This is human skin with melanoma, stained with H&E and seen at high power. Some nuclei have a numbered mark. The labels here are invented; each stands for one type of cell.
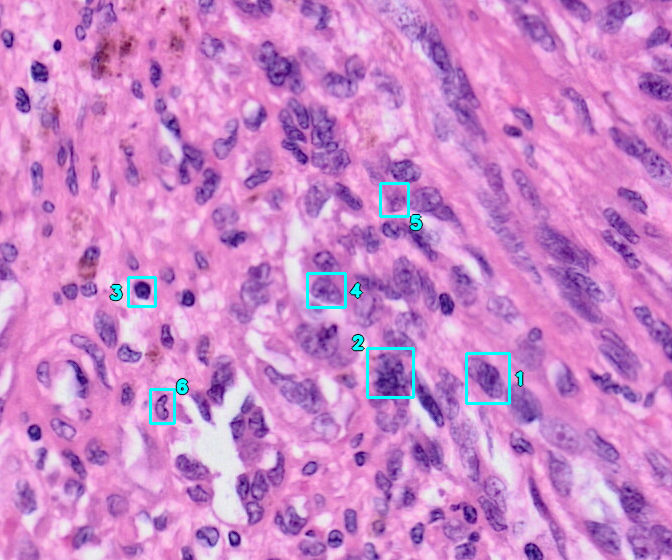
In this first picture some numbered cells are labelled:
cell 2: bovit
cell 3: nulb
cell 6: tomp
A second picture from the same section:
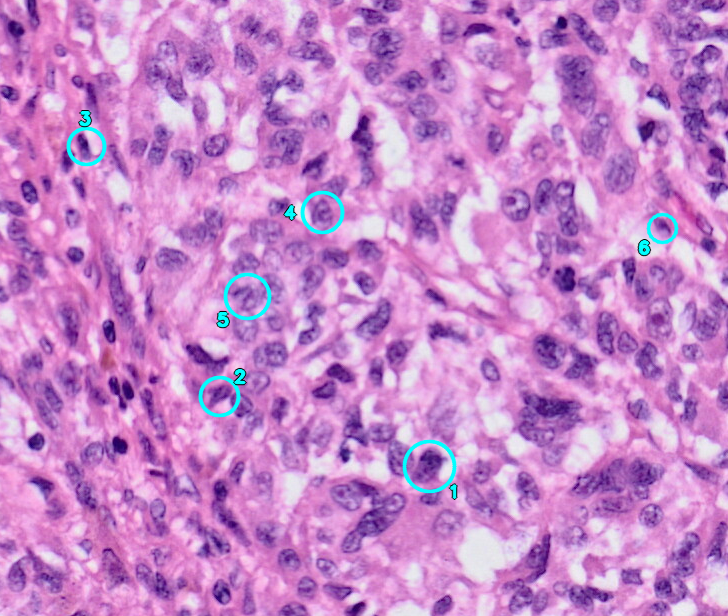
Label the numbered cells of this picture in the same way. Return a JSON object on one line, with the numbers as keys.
{"1": "bovit", "2": "bovit", "3": "nulb", "4": "bovit", "5": "bovit", "6": "tomp"}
